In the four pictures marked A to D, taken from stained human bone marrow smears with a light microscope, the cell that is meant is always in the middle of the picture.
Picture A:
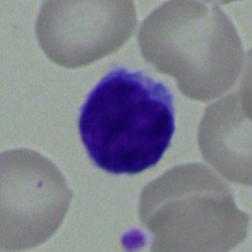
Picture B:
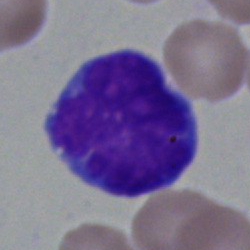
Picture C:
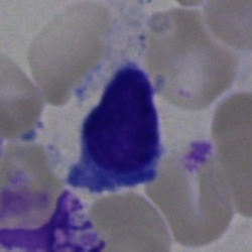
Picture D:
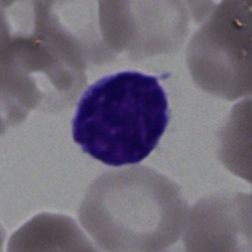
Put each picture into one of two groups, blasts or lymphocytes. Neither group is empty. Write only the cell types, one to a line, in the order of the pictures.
lymphocyte
blast
lymphocyte
lymphocyte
